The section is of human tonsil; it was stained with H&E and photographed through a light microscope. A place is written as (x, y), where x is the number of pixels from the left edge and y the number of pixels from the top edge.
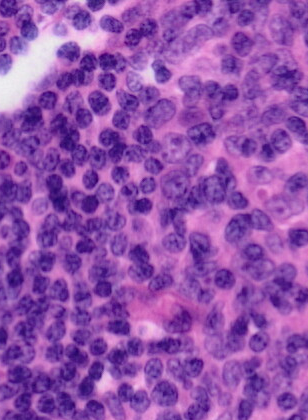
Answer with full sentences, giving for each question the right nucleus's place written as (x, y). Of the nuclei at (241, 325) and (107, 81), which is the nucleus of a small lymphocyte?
Belonging to a small lymphocyte is the nucleus at (107, 81).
